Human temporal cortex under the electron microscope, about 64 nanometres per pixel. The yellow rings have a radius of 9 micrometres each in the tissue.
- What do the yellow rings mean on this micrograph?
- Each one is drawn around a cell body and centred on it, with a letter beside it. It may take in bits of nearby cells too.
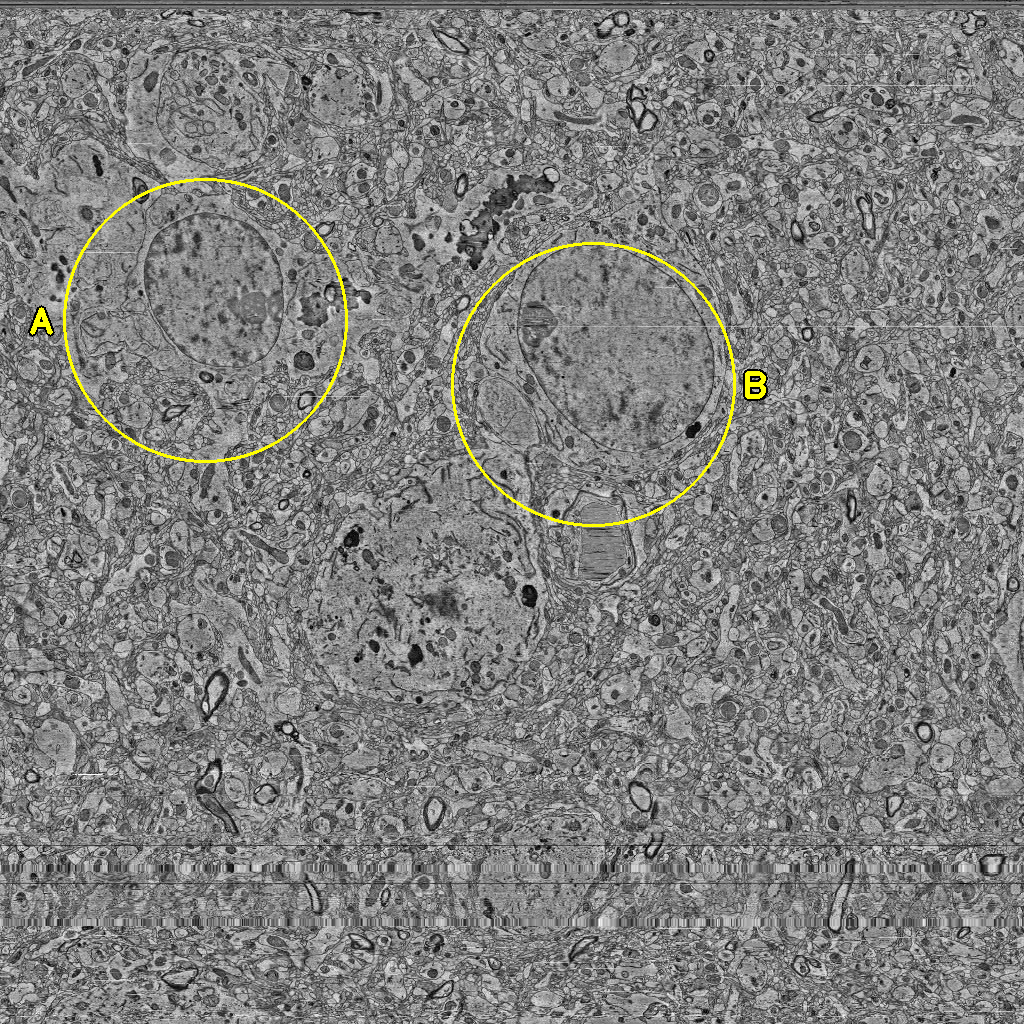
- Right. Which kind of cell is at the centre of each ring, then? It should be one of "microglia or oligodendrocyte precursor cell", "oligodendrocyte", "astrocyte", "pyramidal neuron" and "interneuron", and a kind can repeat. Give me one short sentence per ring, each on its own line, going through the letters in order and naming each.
Ring A circles the cell body of an astrocyte.
Ring B circles the cell body of a pyramidal neuron.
